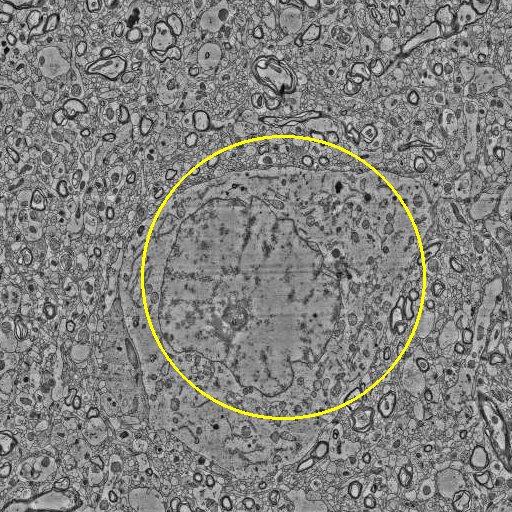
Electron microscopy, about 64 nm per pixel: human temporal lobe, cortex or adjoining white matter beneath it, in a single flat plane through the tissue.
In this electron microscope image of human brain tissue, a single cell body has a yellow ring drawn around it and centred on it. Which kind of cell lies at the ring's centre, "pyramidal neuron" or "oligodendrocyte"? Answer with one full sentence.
It is a pyramidal neuron whose cell body lies at the centre of the yellow ring here.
